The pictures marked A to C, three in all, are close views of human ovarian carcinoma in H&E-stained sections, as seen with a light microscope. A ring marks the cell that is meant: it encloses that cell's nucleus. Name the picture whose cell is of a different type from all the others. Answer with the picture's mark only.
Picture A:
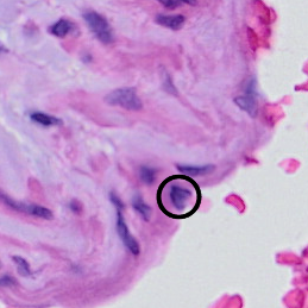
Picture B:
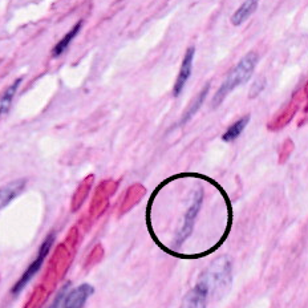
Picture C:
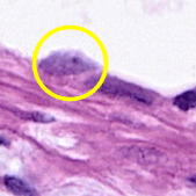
B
